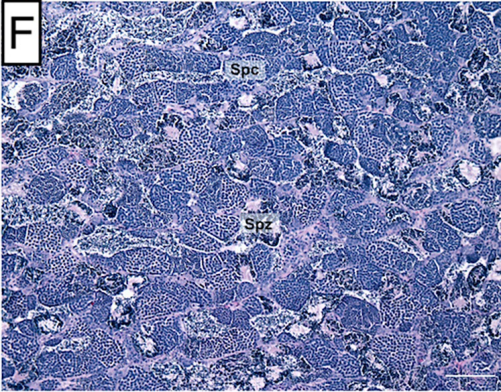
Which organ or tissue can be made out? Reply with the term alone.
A: testes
